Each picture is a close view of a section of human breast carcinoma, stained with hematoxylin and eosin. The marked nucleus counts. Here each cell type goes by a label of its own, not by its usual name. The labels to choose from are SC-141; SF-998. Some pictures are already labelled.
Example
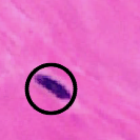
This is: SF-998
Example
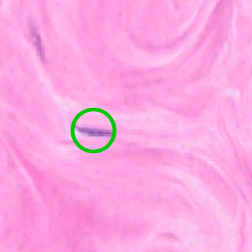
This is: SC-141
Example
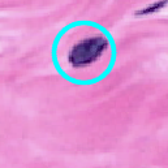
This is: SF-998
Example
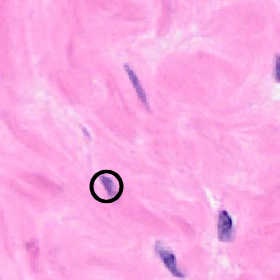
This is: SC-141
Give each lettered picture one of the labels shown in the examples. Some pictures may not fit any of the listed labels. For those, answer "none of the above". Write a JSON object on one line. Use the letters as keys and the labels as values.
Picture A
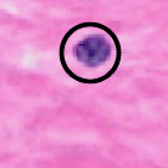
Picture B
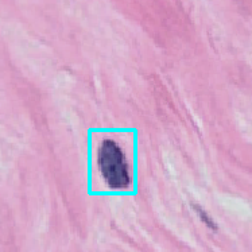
{"A": "SF-998", "B": "SF-998"}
